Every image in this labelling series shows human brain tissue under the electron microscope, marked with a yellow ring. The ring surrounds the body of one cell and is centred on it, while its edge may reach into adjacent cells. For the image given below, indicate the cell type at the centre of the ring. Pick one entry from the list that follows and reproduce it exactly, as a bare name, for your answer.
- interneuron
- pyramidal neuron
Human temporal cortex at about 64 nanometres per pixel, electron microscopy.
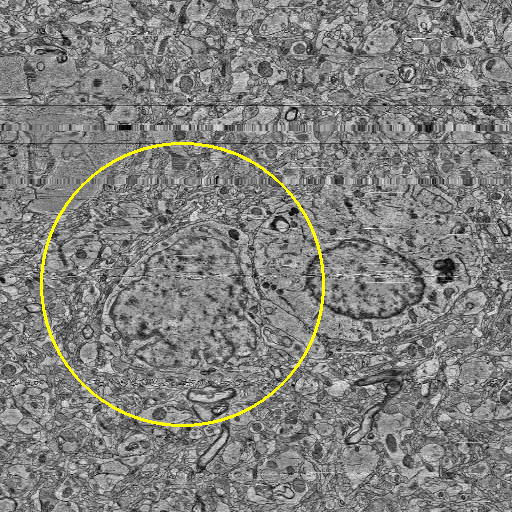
interneuron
